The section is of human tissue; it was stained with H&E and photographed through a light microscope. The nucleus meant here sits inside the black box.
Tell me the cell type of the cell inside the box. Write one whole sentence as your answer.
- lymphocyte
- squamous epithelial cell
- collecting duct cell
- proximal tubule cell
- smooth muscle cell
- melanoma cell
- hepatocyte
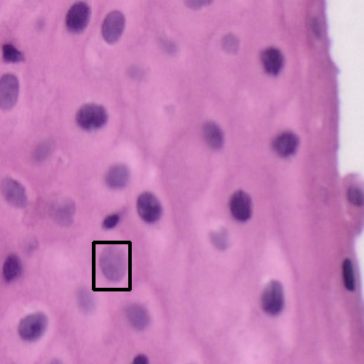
The identity of the cell inside the box is that of a squamous epithelial cell.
